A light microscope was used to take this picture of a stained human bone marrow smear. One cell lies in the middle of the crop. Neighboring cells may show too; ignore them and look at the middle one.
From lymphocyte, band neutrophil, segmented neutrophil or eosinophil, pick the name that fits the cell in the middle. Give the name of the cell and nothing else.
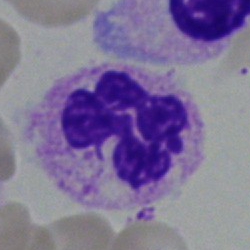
segmented neutrophil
